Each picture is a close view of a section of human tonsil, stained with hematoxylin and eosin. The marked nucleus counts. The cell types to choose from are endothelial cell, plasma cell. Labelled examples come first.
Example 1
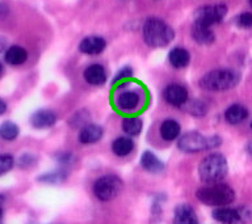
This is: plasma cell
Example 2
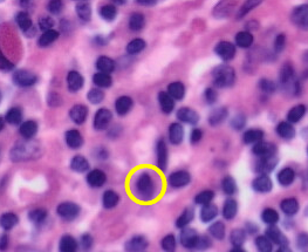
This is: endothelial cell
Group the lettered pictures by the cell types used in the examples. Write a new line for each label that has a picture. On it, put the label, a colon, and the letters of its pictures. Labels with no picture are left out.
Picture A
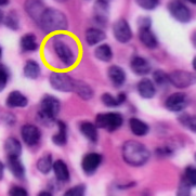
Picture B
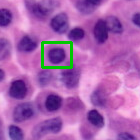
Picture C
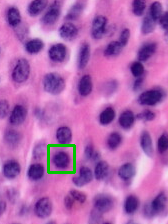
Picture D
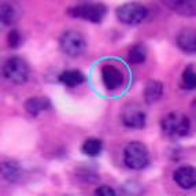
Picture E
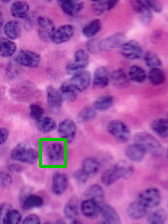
endothelial cell: A
plasma cell: B, C, D, E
